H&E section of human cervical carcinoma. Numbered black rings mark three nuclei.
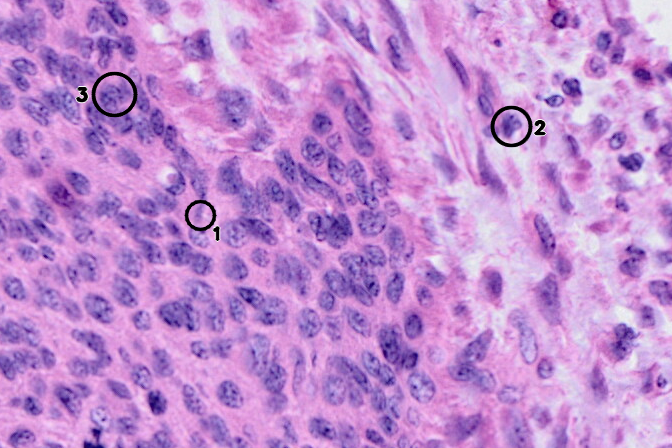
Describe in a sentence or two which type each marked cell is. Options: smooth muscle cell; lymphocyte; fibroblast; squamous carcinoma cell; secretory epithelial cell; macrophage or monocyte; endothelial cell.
Cell 1 is a squamous carcinoma cell, cell 2 is a lymphocyte and cell 3 is a squamous carcinoma cell.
